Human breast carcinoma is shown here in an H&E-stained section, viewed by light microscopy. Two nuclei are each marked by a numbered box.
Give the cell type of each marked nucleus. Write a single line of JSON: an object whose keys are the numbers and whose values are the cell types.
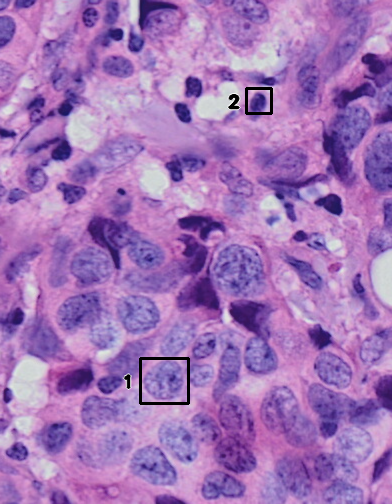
{"1": "carcinoma cell", "2": "lymphocyte"}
